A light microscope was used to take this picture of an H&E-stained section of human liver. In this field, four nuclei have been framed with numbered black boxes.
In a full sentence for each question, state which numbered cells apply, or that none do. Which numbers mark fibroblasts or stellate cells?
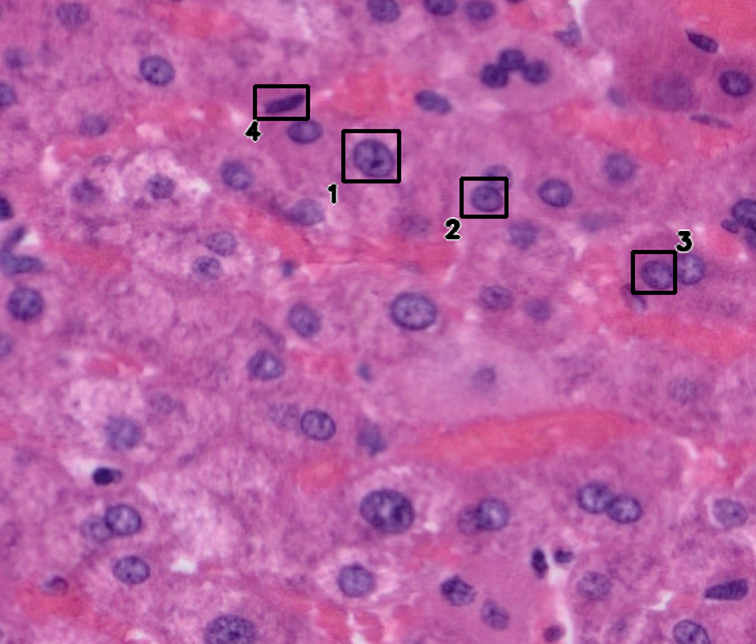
Among the numbered cells, the one that is a fibroblast or stellate cell is cell 4 alone.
